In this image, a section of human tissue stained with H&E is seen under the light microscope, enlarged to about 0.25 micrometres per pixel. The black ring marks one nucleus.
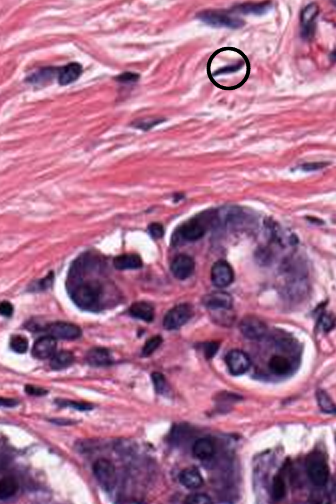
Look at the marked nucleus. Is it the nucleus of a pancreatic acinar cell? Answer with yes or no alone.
no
